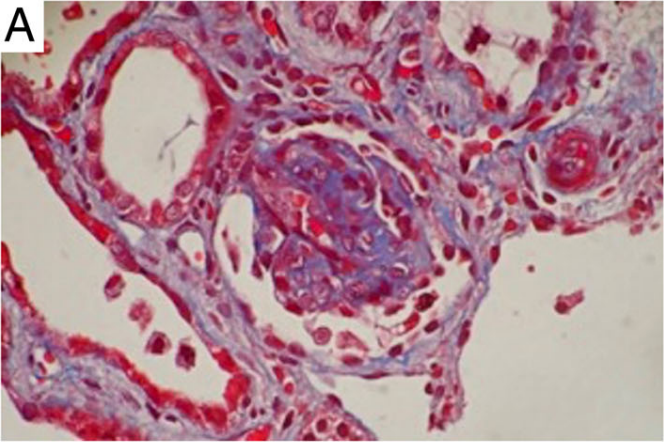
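This is a glomerulus of the kidney whose tuft is shrunken and firm, its nuclei crowded together within abundant blue-staining matrix so that few open capillary loops remain. Around it lies interstitium with wisps of blue fibrous tissue, and a tubule with a cuboidal red-staining lining and an open lumen sits to the left.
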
